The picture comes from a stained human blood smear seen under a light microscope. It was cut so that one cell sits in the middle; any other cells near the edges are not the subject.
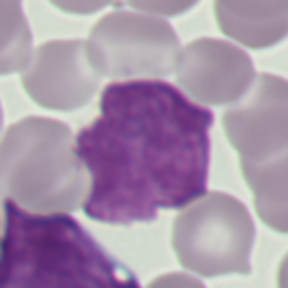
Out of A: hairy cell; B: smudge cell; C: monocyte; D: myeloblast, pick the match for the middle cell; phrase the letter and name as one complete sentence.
The centrally located cell is a smudge cell, making option B the correct choice.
